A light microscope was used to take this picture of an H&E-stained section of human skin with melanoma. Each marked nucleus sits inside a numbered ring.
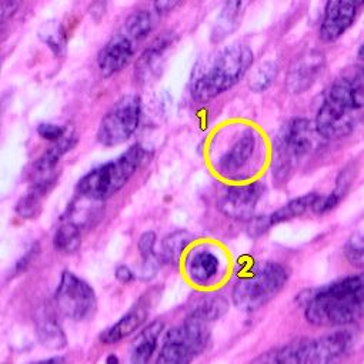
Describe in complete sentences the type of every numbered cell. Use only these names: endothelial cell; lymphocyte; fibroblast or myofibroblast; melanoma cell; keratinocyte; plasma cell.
Cell 1 is a melanoma cell and cell 2 is a lymphocyte.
